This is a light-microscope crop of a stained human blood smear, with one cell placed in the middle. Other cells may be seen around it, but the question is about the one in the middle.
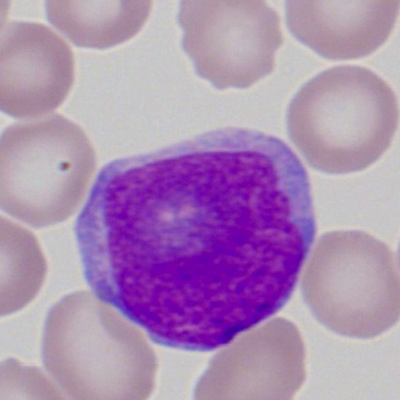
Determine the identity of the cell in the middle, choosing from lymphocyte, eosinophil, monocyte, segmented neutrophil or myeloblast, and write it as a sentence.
The cell in the exact centre of the crop is a myeloblast.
